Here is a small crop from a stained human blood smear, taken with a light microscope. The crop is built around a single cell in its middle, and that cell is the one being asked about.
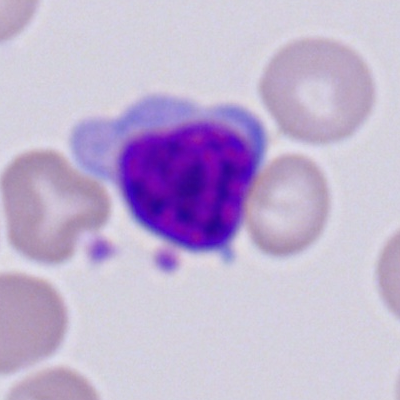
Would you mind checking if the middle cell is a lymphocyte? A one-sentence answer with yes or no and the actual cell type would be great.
Yes, it is a lymphocyte that lies in the middle.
